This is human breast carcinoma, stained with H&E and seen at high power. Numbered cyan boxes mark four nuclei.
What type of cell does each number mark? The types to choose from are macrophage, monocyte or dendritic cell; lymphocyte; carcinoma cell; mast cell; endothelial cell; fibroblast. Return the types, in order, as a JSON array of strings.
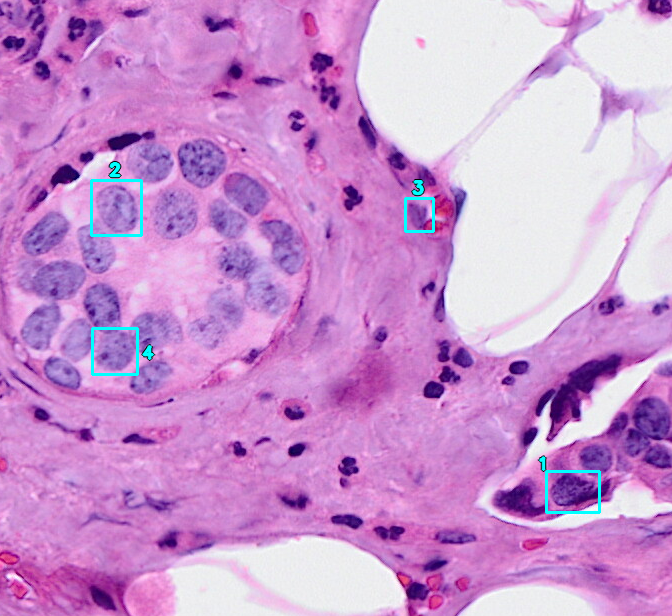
["carcinoma cell", "carcinoma cell", "endothelial cell", "carcinoma cell"]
